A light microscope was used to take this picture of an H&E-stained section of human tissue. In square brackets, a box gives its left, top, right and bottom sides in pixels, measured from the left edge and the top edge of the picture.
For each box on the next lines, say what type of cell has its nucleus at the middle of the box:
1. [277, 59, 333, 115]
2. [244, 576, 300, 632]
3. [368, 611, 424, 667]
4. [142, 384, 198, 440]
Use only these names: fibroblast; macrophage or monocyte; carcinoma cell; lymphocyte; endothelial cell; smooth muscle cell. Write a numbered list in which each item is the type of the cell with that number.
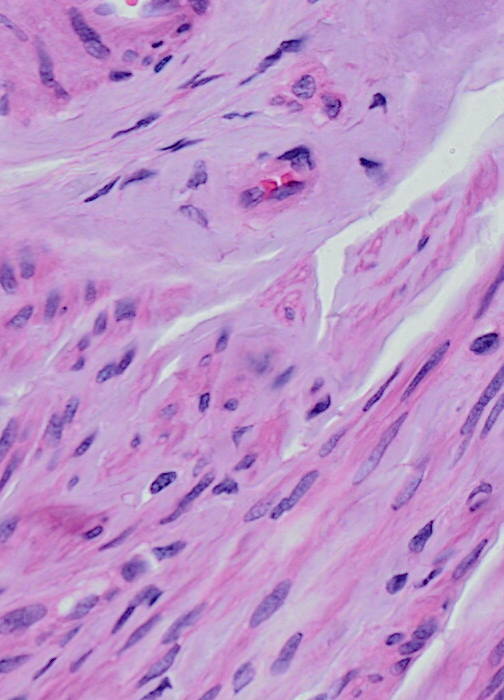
1. endothelial cell
2. smooth muscle cell
3. smooth muscle cell
4. smooth muscle cell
